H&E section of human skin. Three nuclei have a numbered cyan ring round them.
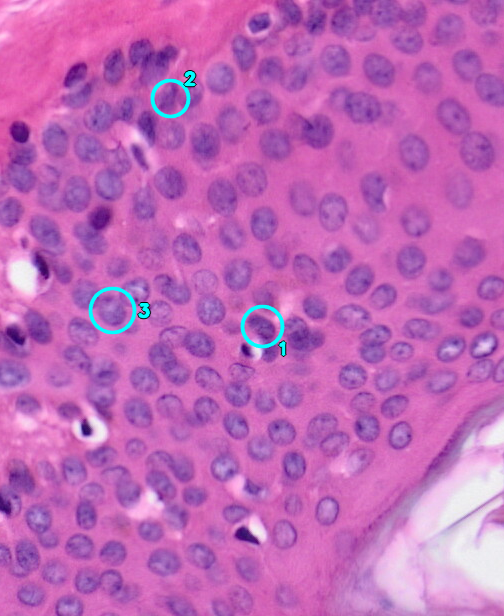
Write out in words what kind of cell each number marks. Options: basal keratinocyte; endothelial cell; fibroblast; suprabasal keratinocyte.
Cell 1 is a basal keratinocyte, cell 2 is a basal keratinocyte and cell 3 is a suprabasal keratinocyte.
